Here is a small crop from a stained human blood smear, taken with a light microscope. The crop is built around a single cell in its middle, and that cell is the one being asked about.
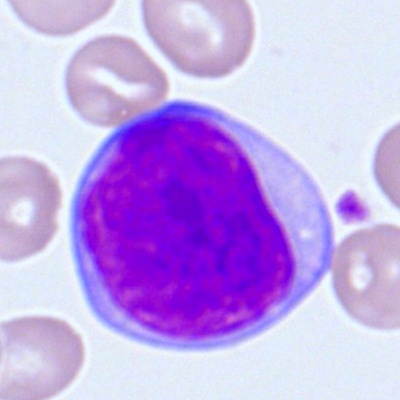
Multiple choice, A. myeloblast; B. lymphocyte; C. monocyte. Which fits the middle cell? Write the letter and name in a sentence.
The central cell in this crop is a myeloblast, corresponding to option A, the correct option.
